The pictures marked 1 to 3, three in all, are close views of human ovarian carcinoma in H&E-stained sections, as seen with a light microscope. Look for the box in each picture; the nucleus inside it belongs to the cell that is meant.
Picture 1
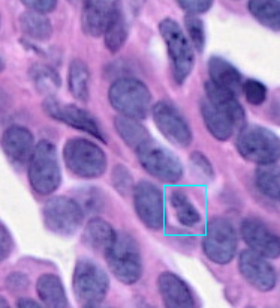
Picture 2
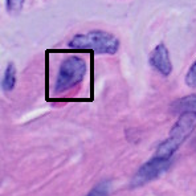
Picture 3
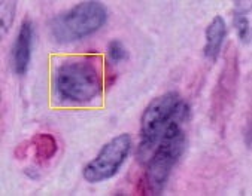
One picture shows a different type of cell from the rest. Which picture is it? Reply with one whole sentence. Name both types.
The others show endothelial cells, but picture 1 shows a “macrophage or monocyte”.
